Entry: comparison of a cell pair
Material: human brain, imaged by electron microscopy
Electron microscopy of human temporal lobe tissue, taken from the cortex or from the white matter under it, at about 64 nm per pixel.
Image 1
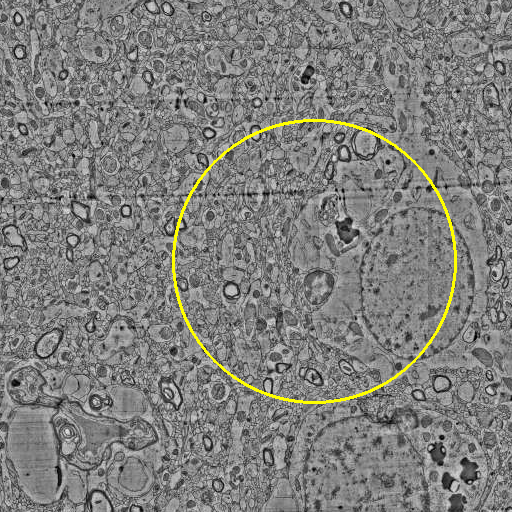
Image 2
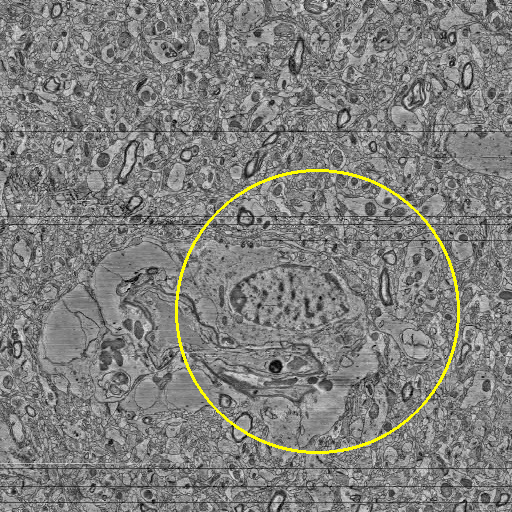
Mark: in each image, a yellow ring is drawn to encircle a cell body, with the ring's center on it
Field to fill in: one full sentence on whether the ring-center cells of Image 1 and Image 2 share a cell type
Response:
Yes, Image 1 and Image 2 each show a ring-center cell of one shared type.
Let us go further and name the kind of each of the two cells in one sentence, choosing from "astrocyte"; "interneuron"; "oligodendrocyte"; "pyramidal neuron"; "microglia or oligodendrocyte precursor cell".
Each of the two rings is centred on a microglial cell or oligodendrocyte precursor cell.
